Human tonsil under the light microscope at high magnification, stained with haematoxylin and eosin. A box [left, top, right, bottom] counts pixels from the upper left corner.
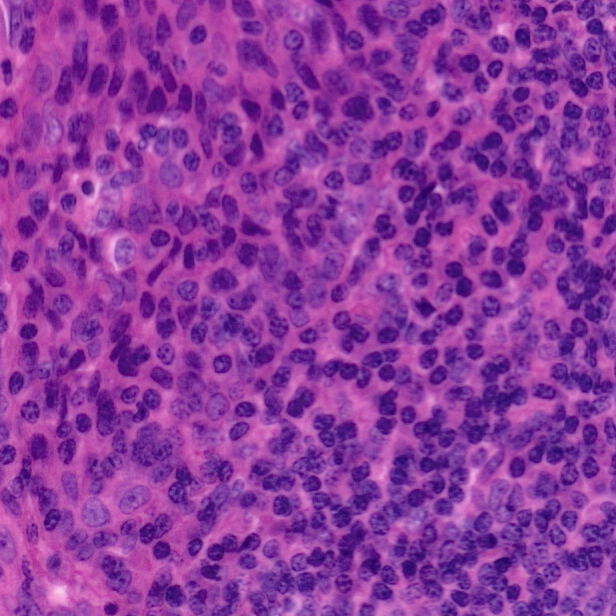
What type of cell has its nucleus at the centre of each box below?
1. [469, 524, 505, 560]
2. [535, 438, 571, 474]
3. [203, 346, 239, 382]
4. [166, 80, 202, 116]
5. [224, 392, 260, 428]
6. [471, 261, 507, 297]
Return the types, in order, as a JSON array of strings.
["small lymphocyte", "small lymphocyte", "plasma cell", "squamous epithelial cell", "plasma cell", "plasma cell"]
